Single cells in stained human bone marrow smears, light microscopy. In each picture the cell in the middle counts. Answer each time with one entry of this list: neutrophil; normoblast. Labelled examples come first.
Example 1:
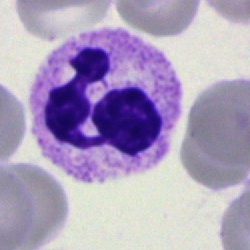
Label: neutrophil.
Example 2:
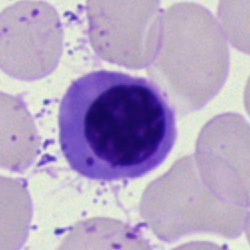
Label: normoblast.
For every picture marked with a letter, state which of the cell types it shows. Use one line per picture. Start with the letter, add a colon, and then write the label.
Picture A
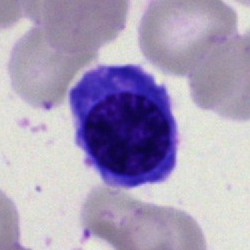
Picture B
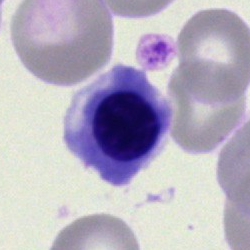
A: normoblast.
B: normoblast.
